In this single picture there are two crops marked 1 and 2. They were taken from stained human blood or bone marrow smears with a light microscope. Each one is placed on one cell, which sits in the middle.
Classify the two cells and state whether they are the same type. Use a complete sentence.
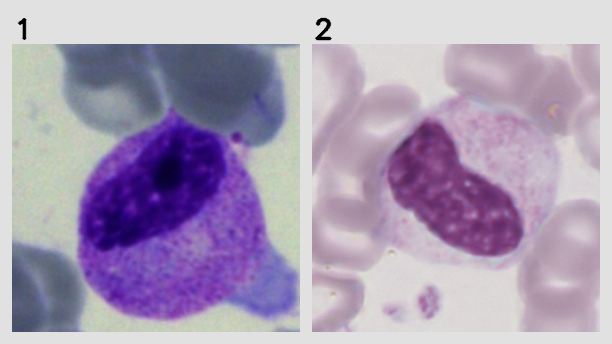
Yes, these two crops both show metamyelocytes.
